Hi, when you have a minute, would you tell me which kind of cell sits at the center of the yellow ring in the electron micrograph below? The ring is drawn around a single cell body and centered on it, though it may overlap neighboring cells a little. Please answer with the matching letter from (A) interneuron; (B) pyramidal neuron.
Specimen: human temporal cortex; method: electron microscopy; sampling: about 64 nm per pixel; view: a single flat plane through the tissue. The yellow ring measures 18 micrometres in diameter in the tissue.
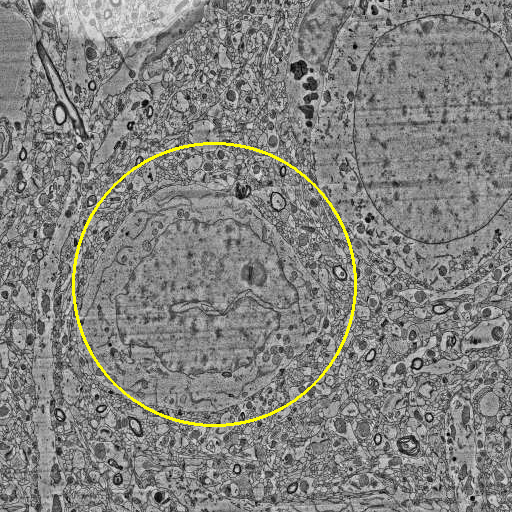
A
